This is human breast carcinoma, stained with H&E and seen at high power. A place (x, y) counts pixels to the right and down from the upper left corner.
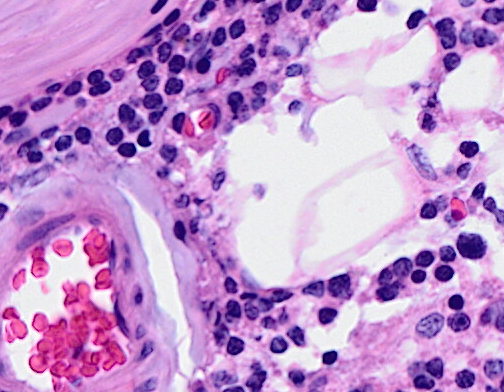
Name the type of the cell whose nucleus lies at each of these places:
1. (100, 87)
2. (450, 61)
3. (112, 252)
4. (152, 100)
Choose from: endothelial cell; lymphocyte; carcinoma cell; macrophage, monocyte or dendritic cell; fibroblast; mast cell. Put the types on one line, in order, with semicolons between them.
lymphocyte; lymphocyte; endothelial cell; lymphocyte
